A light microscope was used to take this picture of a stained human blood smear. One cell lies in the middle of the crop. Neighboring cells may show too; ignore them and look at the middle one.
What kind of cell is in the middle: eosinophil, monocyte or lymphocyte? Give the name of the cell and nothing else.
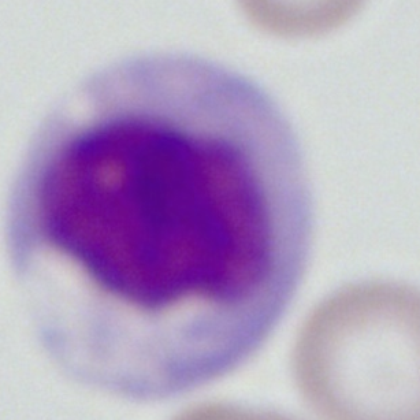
monocyte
